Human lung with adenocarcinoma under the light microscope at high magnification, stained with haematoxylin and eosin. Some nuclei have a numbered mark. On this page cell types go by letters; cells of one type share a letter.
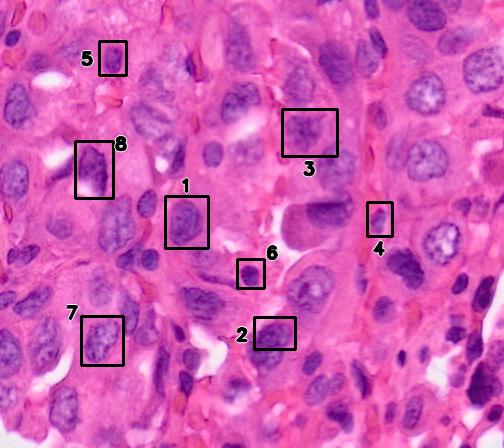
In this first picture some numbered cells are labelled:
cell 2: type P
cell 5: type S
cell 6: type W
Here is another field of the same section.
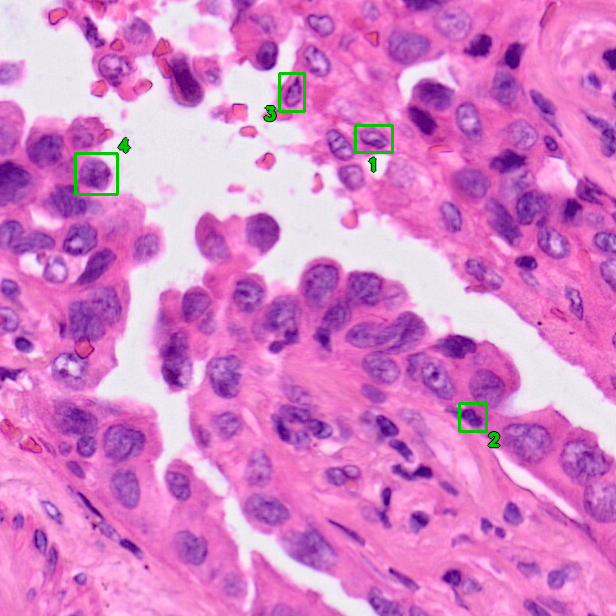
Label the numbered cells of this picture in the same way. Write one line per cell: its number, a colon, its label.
1: type S
2: type W
3: type S
4: type P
